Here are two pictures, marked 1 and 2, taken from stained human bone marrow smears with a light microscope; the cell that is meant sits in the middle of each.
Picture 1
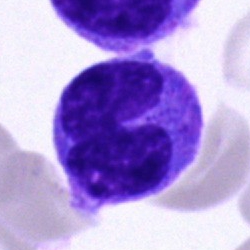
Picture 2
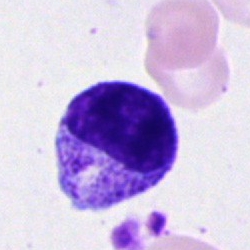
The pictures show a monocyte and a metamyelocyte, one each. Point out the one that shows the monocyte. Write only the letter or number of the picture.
1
